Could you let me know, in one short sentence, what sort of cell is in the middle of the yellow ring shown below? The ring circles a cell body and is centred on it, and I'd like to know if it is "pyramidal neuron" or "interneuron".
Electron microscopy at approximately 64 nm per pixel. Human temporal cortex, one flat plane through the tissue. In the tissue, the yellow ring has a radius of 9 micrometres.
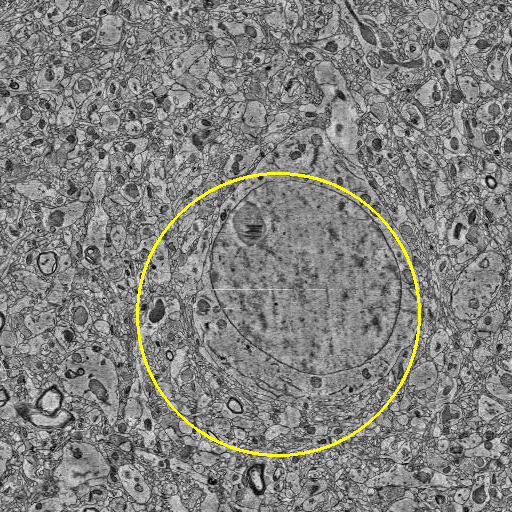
The ring circles the cell body of a pyramidal neuron.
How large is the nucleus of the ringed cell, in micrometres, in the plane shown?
About 13 by 11 micrometres in this plane.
